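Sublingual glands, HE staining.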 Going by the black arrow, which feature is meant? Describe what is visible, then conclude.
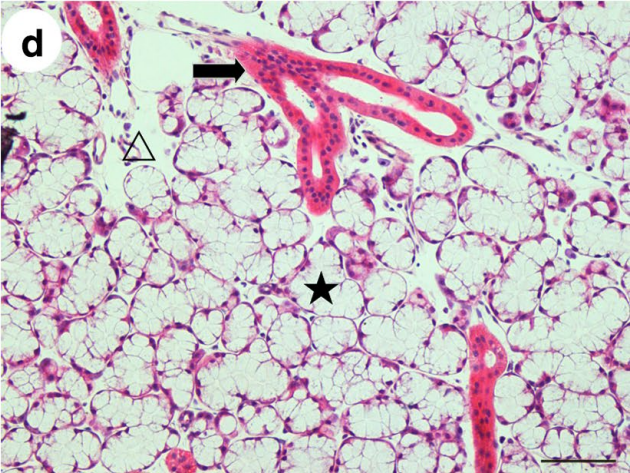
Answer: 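The arrow points to a branching tube with intensely pink epithelial lining. Lining cells are tall with round nuclei in a row. The tube has an open central lumen and stands out from the pale surrounding clusters.
Hence: striated duct.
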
